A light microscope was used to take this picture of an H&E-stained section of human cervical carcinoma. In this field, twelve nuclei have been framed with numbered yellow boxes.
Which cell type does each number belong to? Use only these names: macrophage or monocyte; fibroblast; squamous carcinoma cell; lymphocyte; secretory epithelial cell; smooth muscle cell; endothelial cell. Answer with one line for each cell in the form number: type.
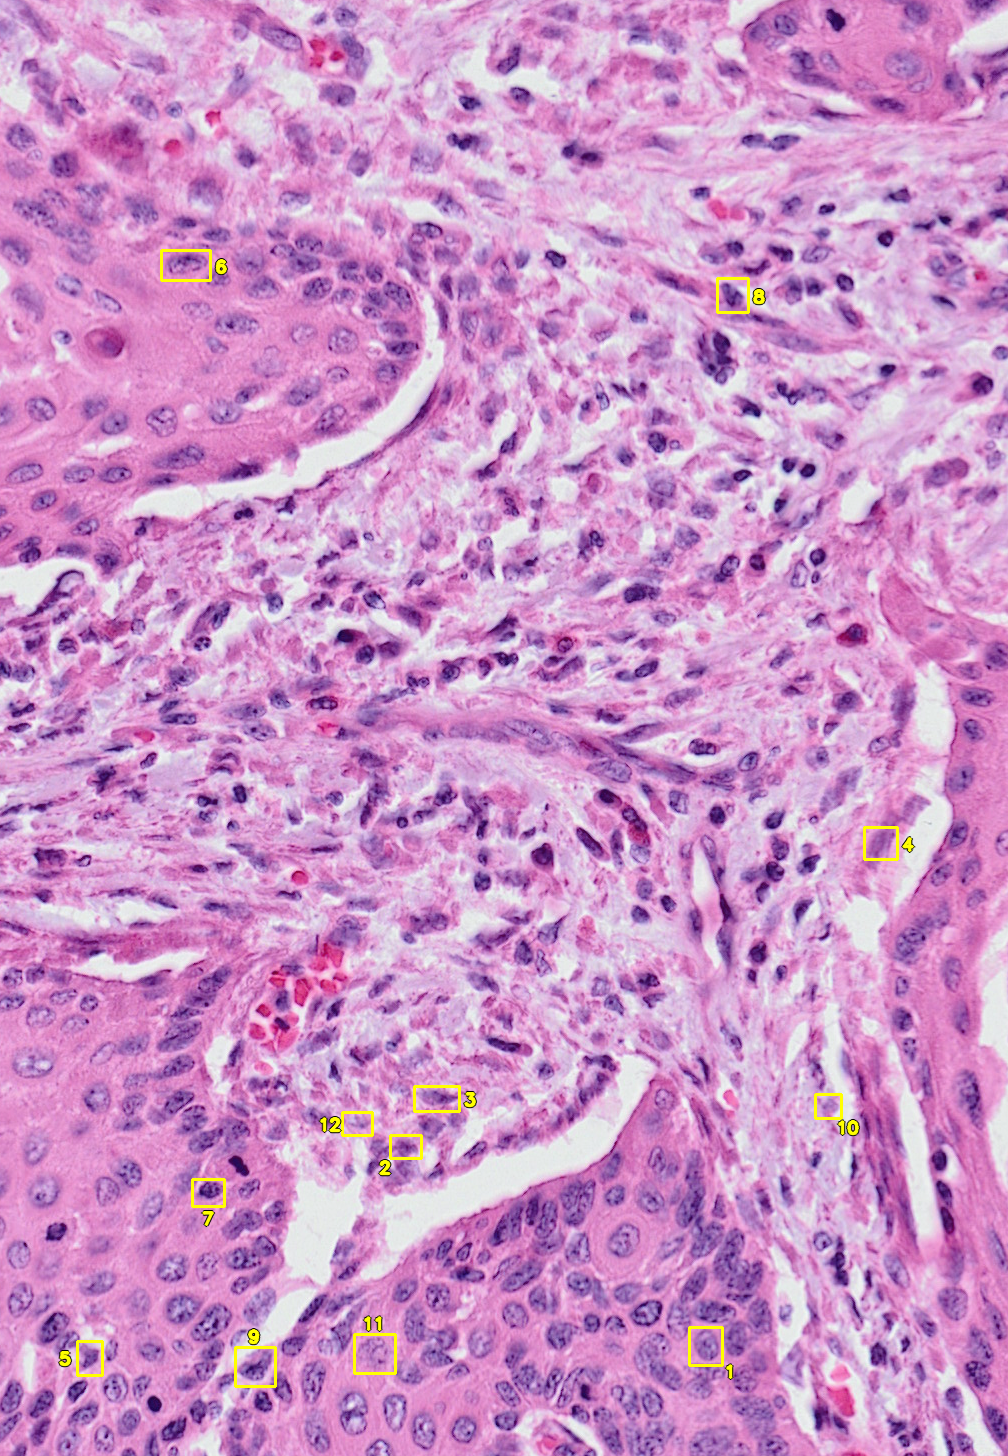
1: squamous carcinoma cell
2: fibroblast
3: fibroblast
4: fibroblast
5: squamous carcinoma cell
6: squamous carcinoma cell
7: squamous carcinoma cell
8: lymphocyte
9: squamous carcinoma cell
10: fibroblast
11: squamous carcinoma cell
12: fibroblast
